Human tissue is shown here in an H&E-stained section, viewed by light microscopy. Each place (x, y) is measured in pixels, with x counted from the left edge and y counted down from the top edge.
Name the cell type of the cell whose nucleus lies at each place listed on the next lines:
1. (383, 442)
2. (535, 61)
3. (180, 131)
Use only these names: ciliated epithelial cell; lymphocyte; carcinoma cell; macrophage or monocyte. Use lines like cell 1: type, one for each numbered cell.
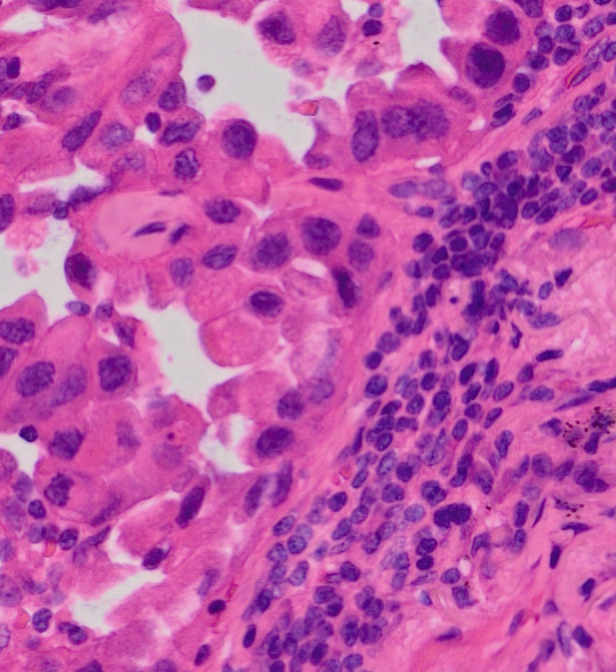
cell 1: lymphocyte
cell 2: lymphocyte
cell 3: carcinoma cell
